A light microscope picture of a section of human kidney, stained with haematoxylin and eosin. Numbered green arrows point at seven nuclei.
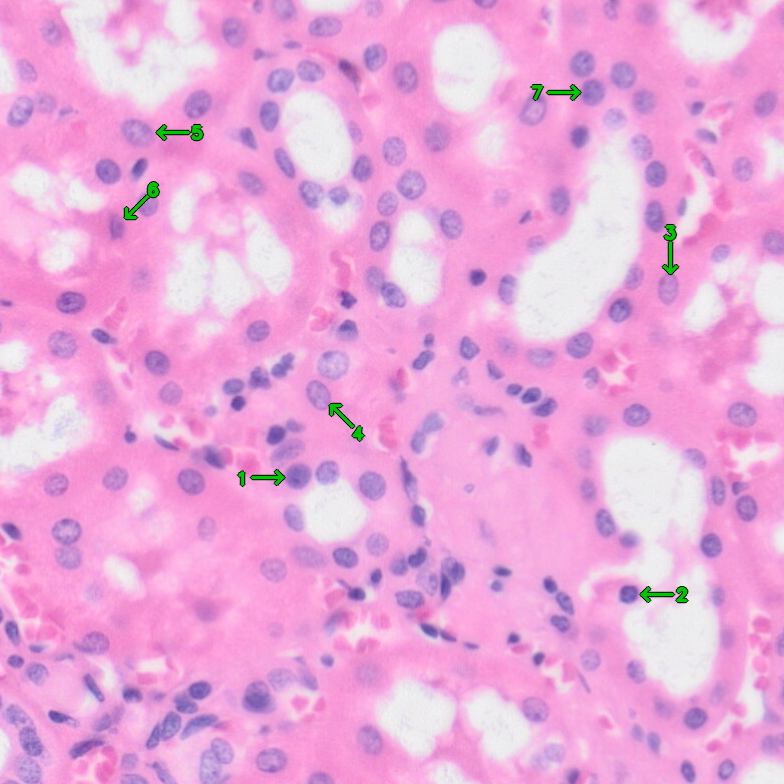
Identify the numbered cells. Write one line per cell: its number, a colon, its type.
1: collecting duct cell
2: loop of Henle or distal tubule cell
3: proximal tubule cell
4: proximal tubule cell
5: proximal tubule cell
6: proximal tubule cell
7: loop of Henle or distal tubule cell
